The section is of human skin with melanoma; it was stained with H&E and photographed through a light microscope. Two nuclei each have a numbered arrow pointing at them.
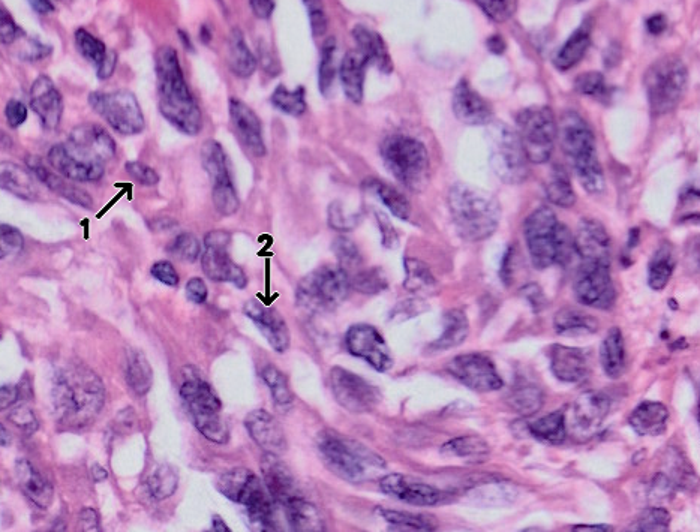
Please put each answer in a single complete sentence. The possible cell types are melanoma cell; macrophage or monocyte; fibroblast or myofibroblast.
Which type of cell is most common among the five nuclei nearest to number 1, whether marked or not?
Melanoma cells make up most of the five nuclei closest to number 1.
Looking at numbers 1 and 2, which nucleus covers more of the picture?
The larger nucleus is 2, at roughly 1.5 times the area of 1.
